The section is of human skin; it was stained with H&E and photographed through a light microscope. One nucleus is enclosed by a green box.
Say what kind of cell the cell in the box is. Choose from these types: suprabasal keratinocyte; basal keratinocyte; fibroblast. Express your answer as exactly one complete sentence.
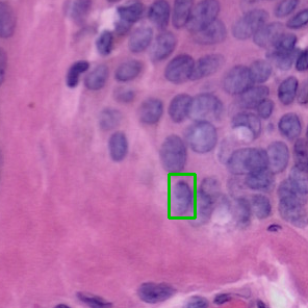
In cell-type terms, the cell in the box is a basal keratinocyte.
